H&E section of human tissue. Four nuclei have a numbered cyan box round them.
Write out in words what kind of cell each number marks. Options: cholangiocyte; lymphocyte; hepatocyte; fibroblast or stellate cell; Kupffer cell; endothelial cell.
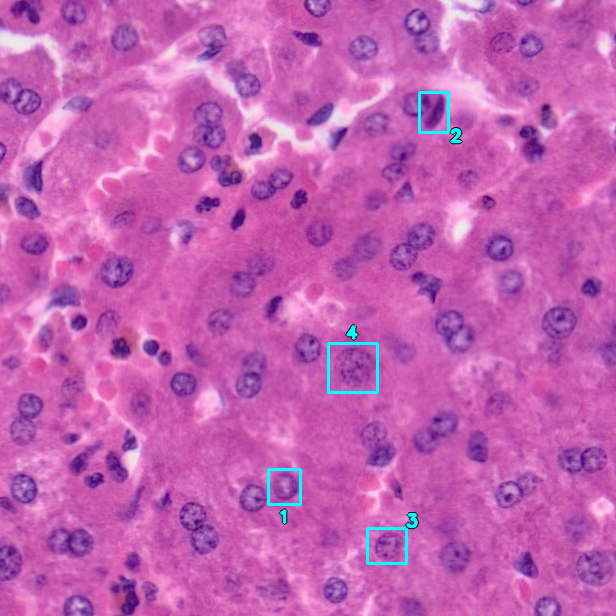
Cell 1 is a hepatocyte, cell 2 is a fibroblast or stellate cell, cell 3 is a hepatocyte and cell 4 is a hepatocyte.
